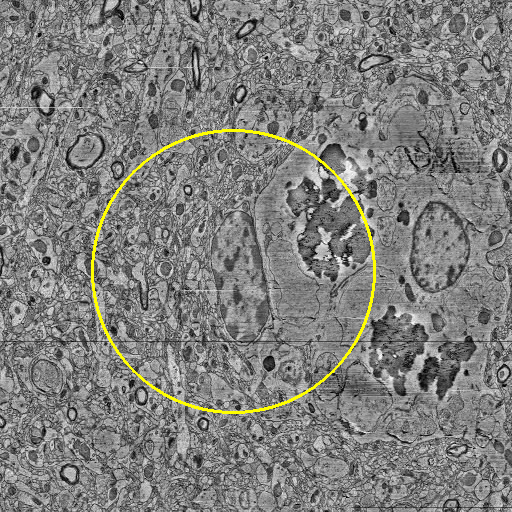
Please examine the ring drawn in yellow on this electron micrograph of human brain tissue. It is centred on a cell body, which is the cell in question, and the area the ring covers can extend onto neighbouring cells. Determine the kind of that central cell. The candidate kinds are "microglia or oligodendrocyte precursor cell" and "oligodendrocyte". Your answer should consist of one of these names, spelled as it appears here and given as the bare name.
microglia or oligodendrocyte precursor cell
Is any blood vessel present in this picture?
Yes, one shows.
